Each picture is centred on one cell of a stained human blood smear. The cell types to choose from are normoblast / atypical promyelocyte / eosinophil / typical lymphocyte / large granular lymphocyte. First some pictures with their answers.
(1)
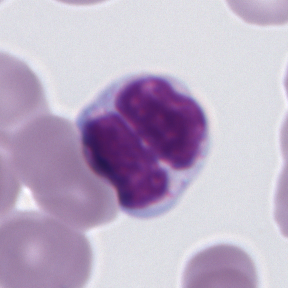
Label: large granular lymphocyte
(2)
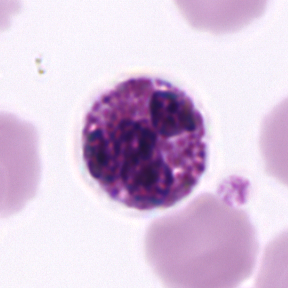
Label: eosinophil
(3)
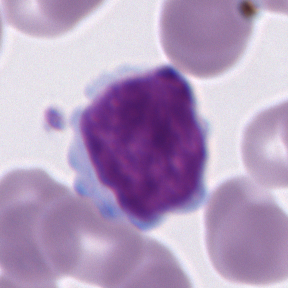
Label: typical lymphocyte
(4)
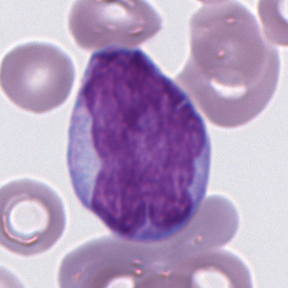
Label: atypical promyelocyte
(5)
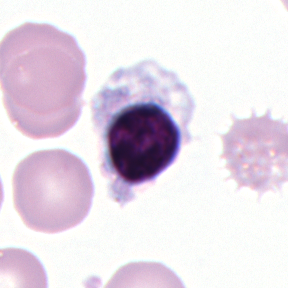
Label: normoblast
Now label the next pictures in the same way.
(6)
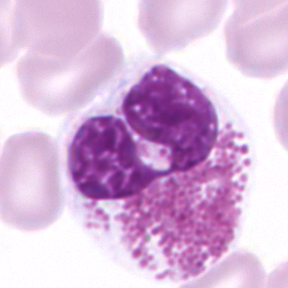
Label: eosinophil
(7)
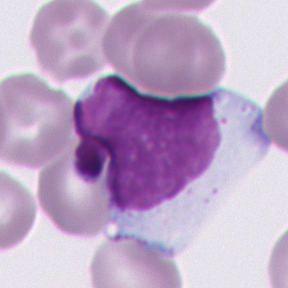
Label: large granular lymphocyte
